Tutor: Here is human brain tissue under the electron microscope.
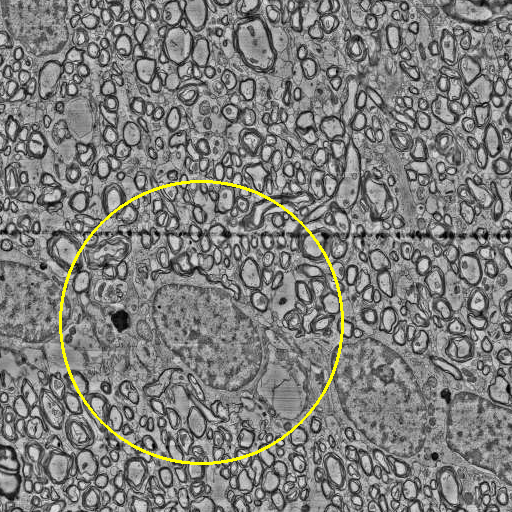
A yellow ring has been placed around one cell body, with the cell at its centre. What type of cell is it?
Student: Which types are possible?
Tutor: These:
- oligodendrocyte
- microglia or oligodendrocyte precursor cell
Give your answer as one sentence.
What the ring picks out here is an oligodendrocyte.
